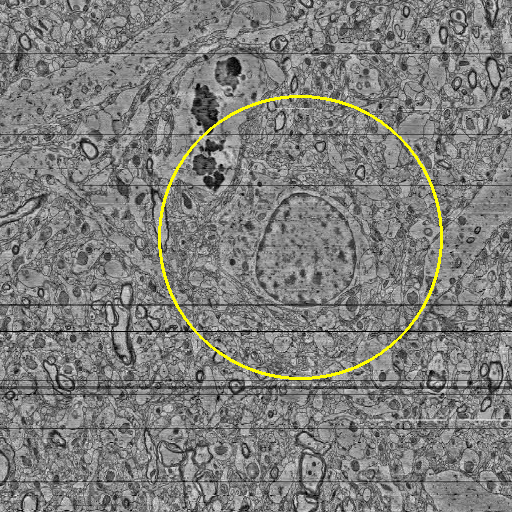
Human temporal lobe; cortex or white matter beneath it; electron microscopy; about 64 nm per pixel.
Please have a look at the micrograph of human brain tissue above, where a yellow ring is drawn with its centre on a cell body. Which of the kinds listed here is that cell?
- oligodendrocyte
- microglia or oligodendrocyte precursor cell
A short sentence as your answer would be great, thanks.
At the centre of the ring sits a microglial cell or oligodendrocyte precursor cell.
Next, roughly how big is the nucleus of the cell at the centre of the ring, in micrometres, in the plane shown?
The ringed cell's nucleus is about 7 micrometres across in this plane.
